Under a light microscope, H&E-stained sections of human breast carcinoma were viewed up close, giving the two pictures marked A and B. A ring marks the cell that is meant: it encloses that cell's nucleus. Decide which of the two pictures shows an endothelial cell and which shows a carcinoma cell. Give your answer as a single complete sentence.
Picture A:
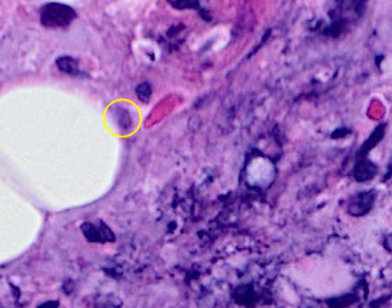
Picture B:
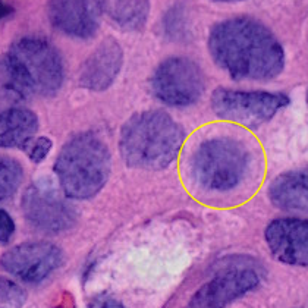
Picture A is of an endothelial cell, and picture B is of a carcinoma cell.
